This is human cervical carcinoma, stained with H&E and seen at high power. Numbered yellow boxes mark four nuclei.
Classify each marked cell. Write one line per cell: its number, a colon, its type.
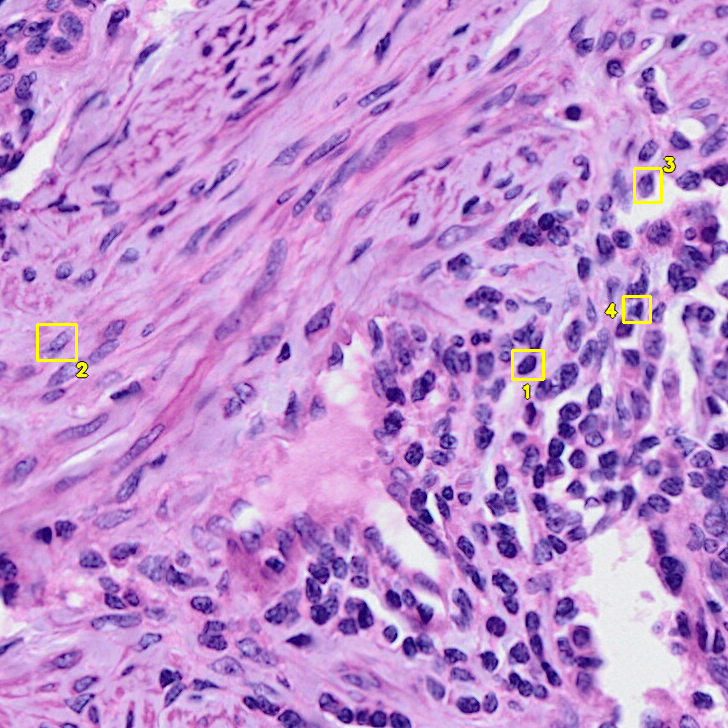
1: lymphocyte
2: smooth muscle cell
3: lymphocyte
4: lymphocyte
